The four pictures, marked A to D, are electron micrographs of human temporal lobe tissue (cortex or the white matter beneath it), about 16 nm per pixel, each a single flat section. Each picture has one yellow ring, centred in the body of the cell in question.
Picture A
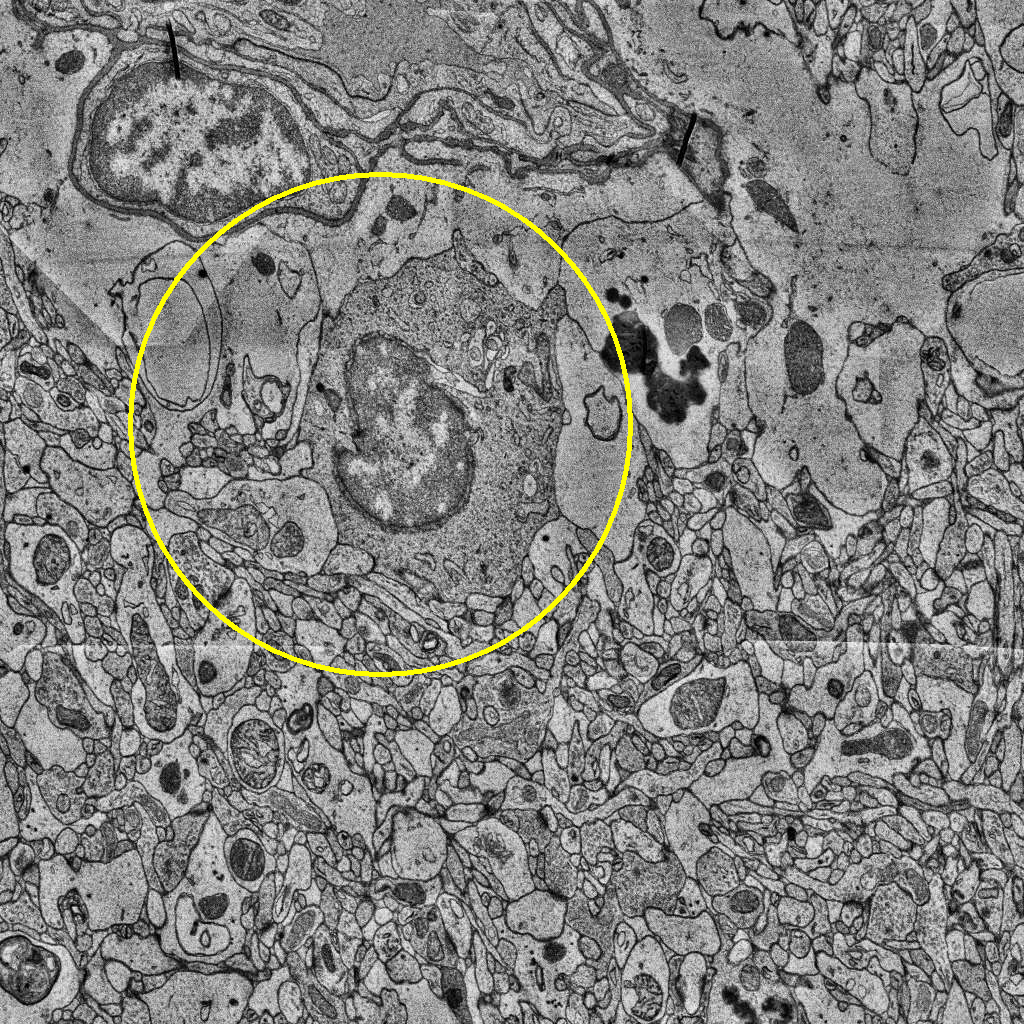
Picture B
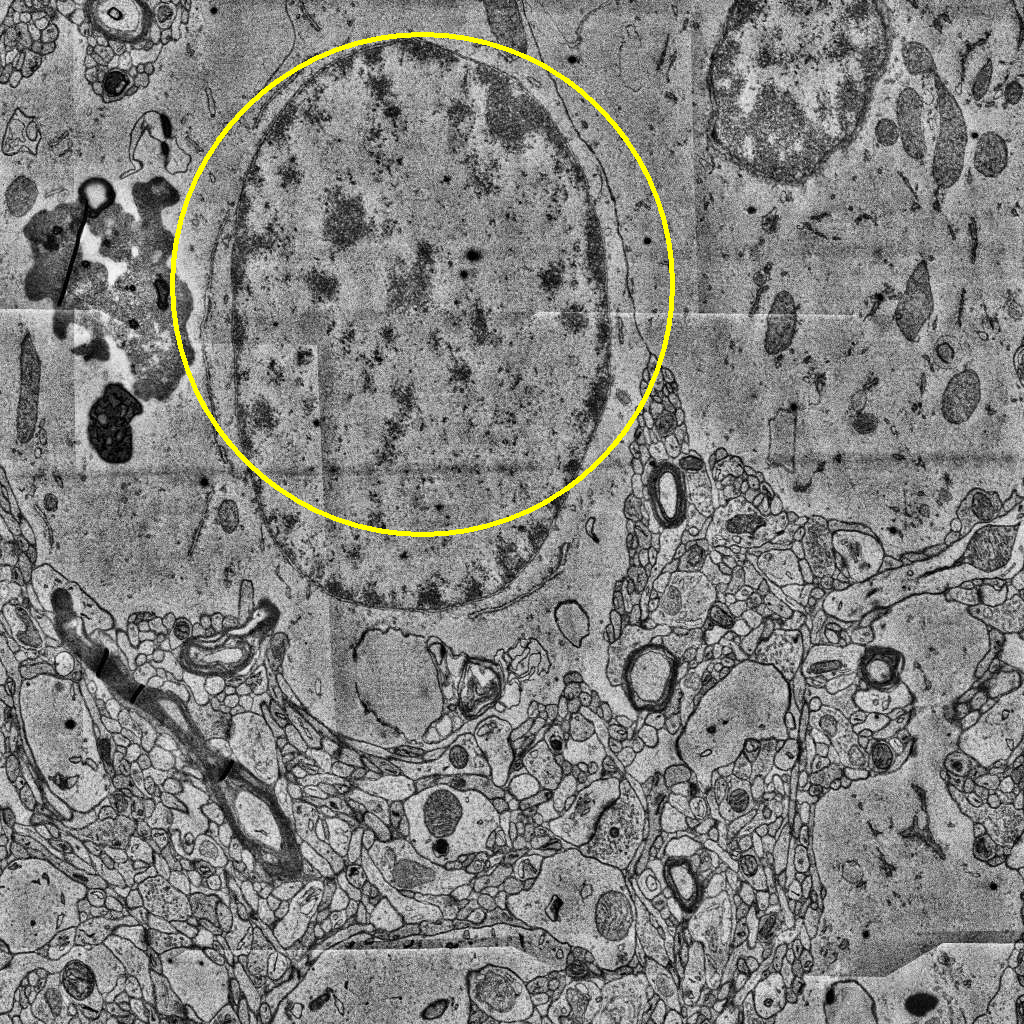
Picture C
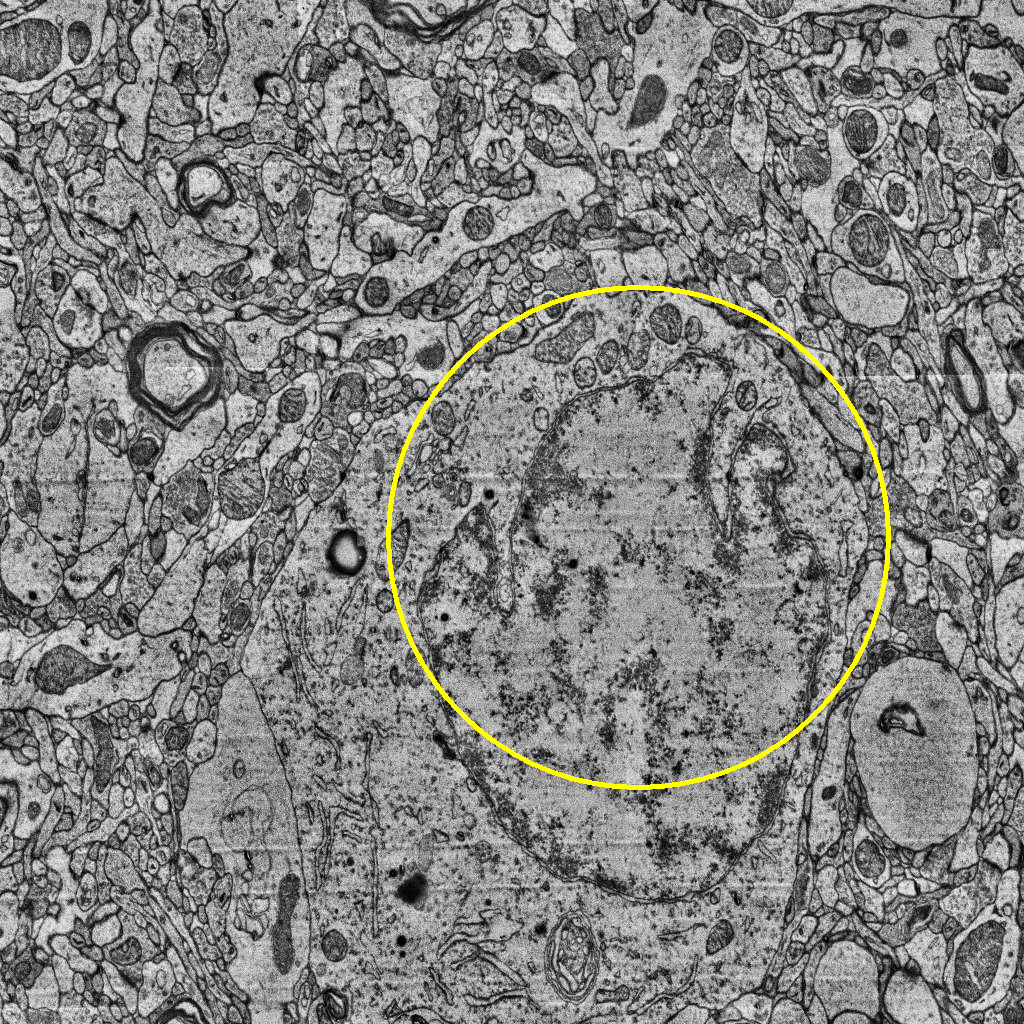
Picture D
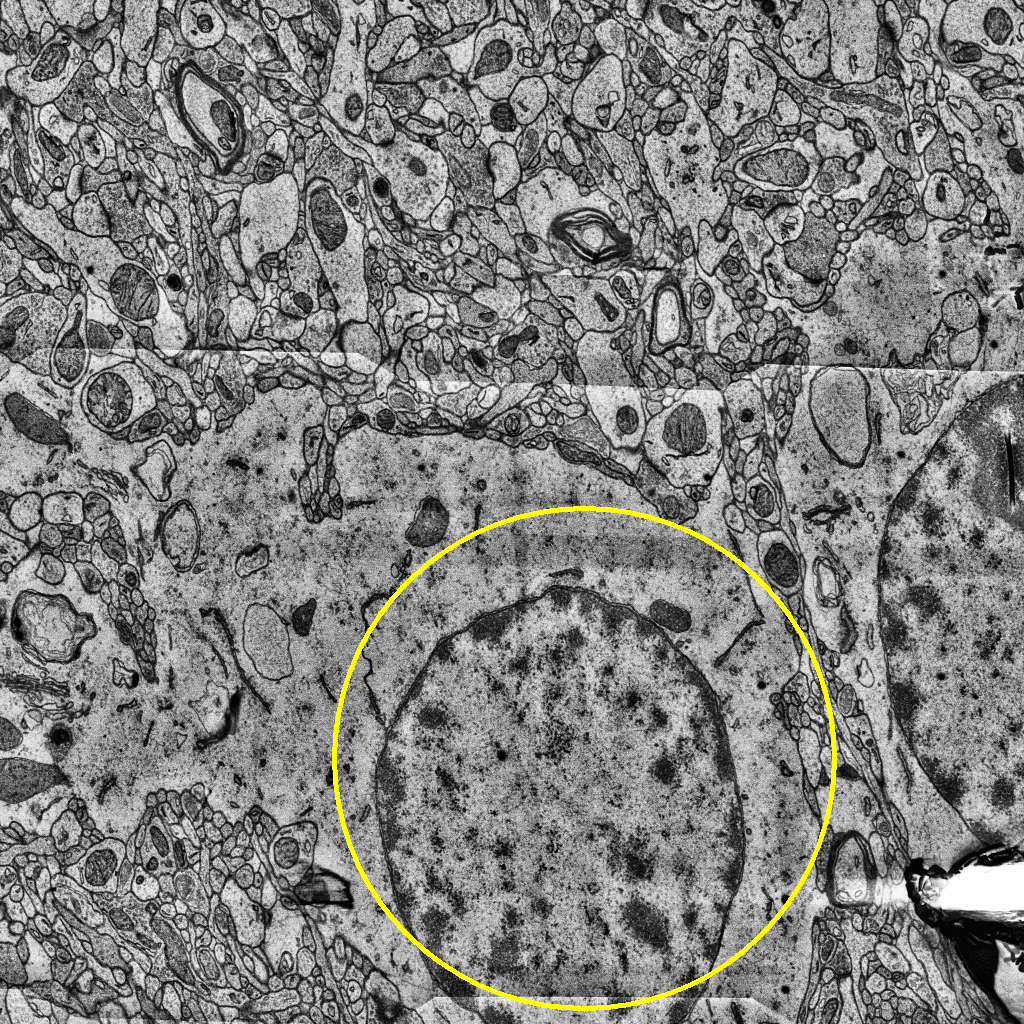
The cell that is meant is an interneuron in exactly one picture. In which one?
Picture C shows the interneuron.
